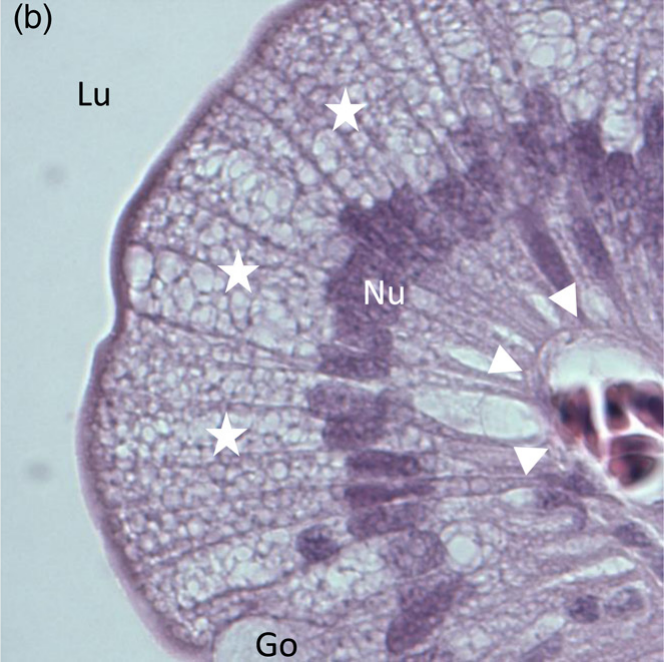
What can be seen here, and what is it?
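Intestinal mucosa is shown, with tall columnar enterocytes radiating from a central core toward the lumen. The cytoplasm between the row of dark purple elongated nuclei and the luminal surface is filled with numerous clear round vacuoles of varying size. This gives the supranuclear region a foamy, net-like appearance. A thin band lines the luminal surface, and a pale goblet cell lies at the lower edge. At the base of the epithelium a thin basal lamina borders the core, where red-stained blood cells are seen.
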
